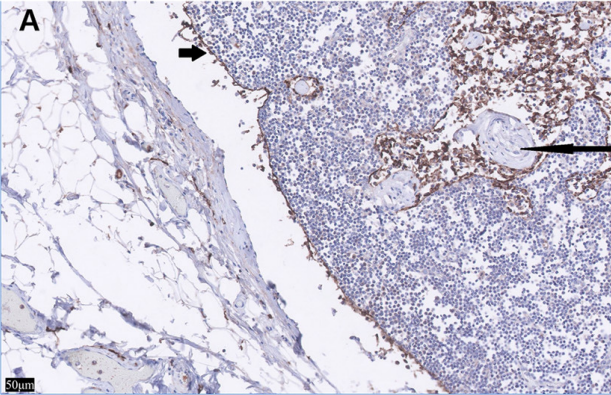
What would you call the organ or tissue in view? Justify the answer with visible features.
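Densely packed small round cells with dark blue nuclei fill most of the panel. A thin capsule separates the dense cellular tissue from loose adipose tissue at the left.
Conclusion: lymph node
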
